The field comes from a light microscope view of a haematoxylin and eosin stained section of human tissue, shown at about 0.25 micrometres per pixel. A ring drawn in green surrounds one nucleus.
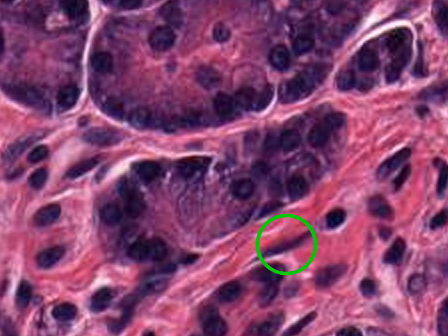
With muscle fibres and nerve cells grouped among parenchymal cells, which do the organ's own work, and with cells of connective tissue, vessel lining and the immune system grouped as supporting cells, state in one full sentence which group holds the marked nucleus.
The marked nucleus sits within a supporting cell.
